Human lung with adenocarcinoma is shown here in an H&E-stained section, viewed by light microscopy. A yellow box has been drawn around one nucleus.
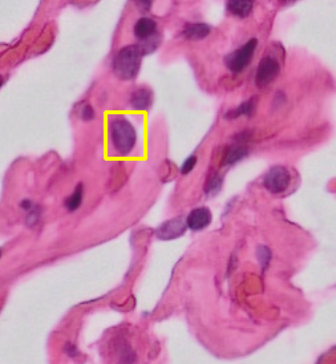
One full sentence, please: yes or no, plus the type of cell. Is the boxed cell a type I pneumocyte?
Yes, the boxed cell corresponds to a type I pneumocyte in this tissue.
